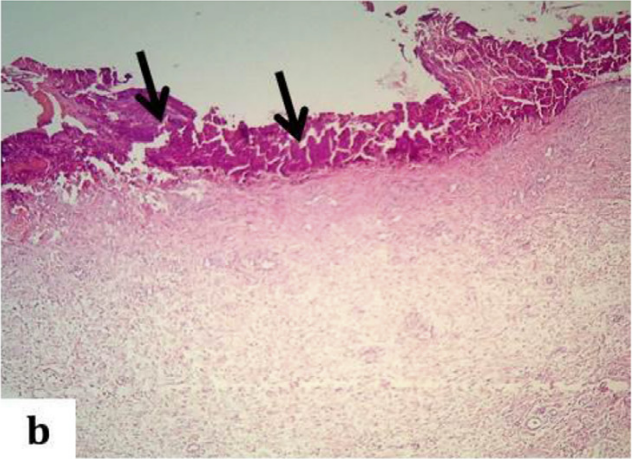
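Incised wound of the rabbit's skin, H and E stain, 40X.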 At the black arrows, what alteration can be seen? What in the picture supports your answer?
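Necrotic debris with fibrin. A band of deep pink, cracked, amorphous material covers the surface above paler tissue. The band lacks organized cells or structures.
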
